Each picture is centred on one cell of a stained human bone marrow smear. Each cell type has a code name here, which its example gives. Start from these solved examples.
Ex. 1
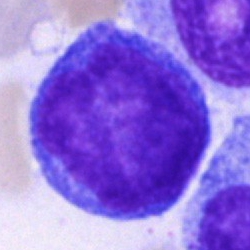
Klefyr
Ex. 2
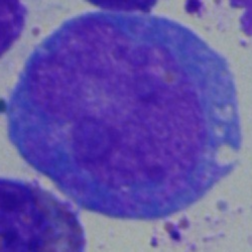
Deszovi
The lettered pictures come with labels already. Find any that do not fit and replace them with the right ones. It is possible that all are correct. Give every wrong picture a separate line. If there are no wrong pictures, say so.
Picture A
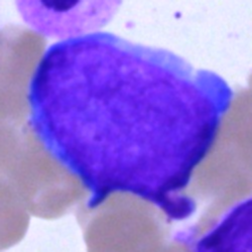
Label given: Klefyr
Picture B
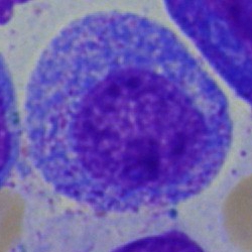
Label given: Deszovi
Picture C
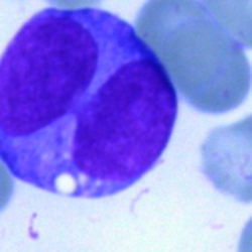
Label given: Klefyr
No label is wrong.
